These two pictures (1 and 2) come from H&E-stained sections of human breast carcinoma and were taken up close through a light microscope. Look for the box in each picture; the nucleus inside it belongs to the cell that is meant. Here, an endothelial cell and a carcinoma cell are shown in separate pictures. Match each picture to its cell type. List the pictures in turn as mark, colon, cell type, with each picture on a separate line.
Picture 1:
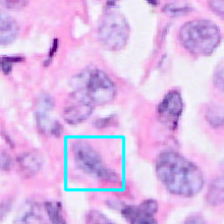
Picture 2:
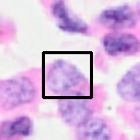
1: endothelial cell
2: carcinoma cell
